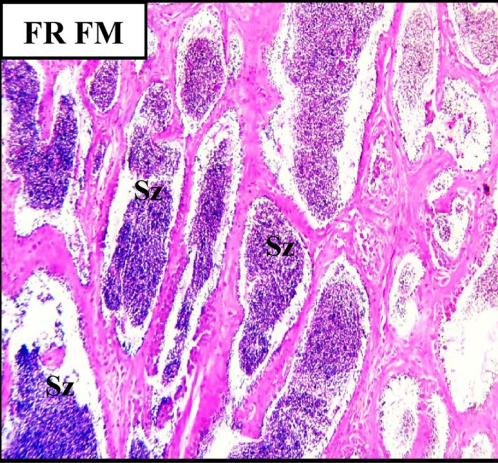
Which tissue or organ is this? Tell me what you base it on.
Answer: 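Testis. Many rounded to elongated compartments are separated by thin pink connective tissue walls. The compartments are packed with masses of tiny dark purple dots.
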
